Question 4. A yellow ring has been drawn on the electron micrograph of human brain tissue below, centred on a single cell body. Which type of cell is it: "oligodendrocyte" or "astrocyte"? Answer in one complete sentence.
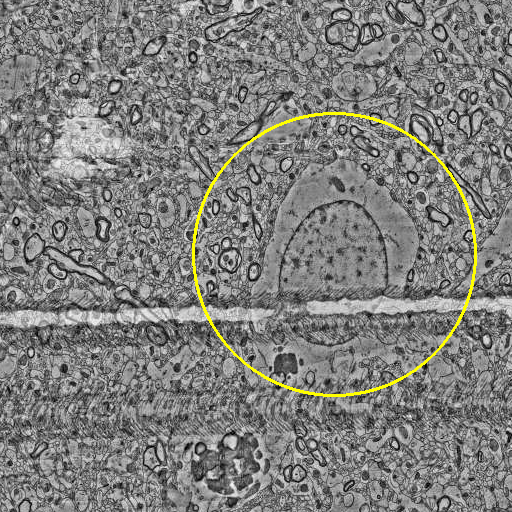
This cell body belongs to an astrocyte.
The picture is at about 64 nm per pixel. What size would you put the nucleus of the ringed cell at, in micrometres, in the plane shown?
About 9 by 7 micrometers for the nucleus, in this plane.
